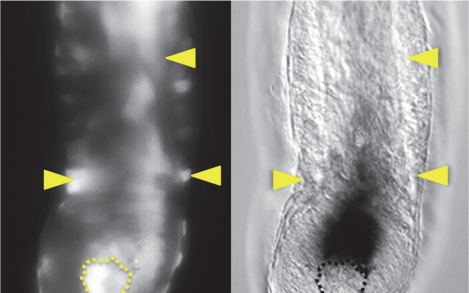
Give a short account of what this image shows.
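A single hair follicle bulb shown side by side in fluorescence and bright field. In the fluorescence image a bright patch occupies the lower part of the bulb, outlined by a dashed line, corresponding to the dermal papilla; a few small bright spots lie at the lateral margins of the follicle above the bulb, marked by arrowheads in the outer root sheath region. In the bright field image the bulb holds a dense black mass of melanin pigment just above the outlined papilla, and the follicle wall shows layered, finely granular epithelial tissue narrowing upward.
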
